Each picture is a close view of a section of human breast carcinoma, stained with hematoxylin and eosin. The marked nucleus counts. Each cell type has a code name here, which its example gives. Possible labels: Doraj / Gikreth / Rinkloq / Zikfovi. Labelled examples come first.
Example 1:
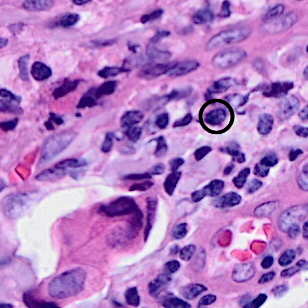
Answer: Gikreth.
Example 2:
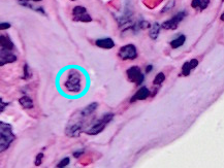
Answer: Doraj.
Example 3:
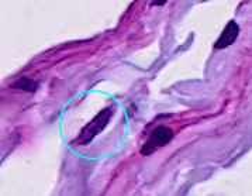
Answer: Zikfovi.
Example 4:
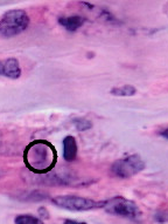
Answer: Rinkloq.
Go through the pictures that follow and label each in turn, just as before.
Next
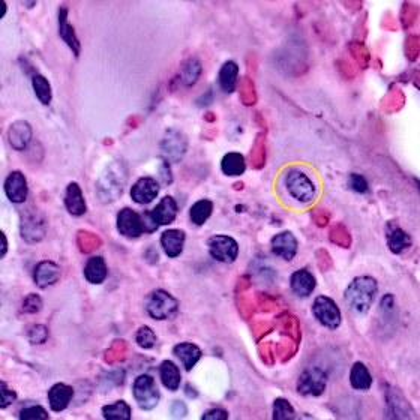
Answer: Doraj.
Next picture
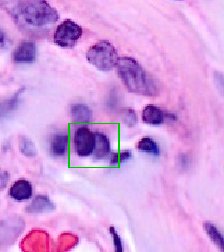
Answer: Gikreth.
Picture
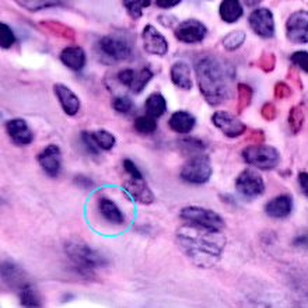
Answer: Gikreth.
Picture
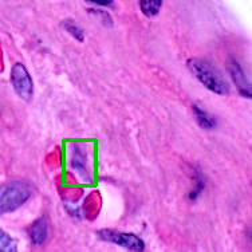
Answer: Rinkloq.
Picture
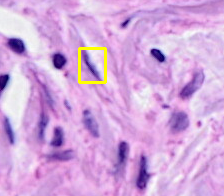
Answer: Zikfovi.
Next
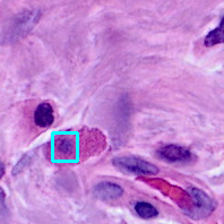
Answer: Doraj.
